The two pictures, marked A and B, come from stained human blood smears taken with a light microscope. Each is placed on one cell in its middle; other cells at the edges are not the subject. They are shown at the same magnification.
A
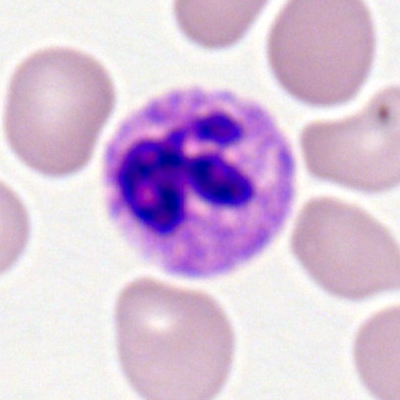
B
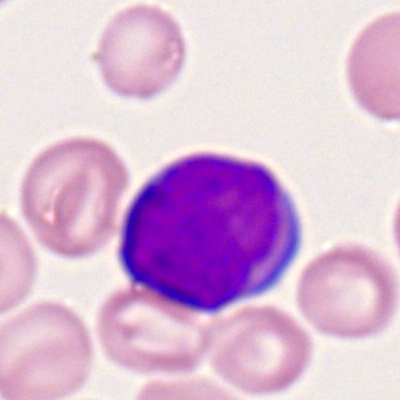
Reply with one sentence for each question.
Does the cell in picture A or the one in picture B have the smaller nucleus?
Smaller is the nucleus in picture A, and the other is about 2 times as large in area.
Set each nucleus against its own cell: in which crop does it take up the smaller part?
The nucleus fills less of the cell in picture A than in picture B.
